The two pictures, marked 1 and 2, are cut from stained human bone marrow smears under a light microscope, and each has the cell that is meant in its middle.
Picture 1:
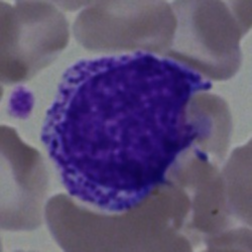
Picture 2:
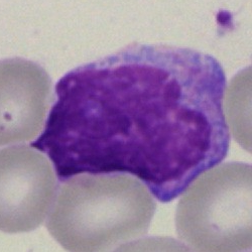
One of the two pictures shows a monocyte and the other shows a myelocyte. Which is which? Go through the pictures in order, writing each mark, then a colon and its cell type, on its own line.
1: myelocyte
2: monocyte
